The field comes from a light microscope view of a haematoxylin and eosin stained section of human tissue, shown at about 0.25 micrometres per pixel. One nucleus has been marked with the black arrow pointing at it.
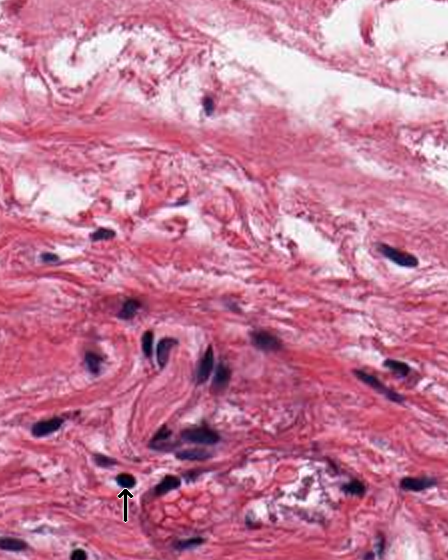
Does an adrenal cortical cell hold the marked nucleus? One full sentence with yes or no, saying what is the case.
No, the marked nucleus is part of a supporting cell and does not belong to an adrenal cortical cell.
